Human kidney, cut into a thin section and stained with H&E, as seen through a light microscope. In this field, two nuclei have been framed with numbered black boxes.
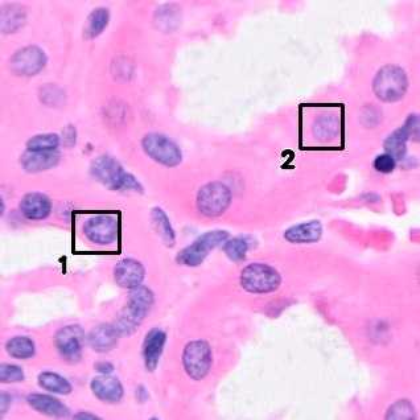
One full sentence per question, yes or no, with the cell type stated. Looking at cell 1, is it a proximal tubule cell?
No, the correct answer for cell 1 is a collecting duct cell, not a proximal tubule cell.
